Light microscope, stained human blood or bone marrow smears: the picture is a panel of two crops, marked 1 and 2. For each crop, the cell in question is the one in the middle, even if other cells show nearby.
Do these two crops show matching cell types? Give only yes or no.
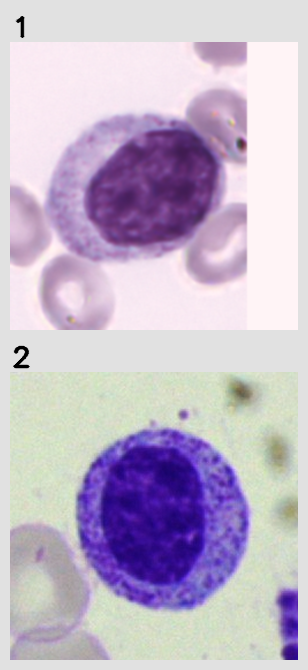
yes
